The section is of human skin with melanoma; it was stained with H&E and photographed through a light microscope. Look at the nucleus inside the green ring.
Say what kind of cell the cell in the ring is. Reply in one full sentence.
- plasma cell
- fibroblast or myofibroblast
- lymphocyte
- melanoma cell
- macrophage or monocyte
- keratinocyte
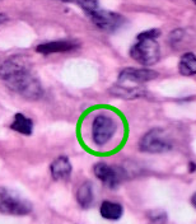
Histopathologically, the cell in the ring is a lymphocyte.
